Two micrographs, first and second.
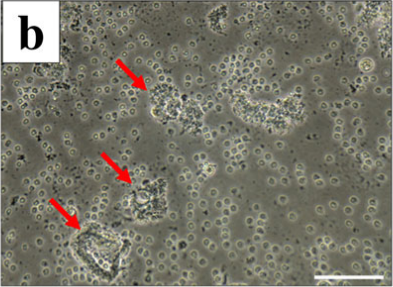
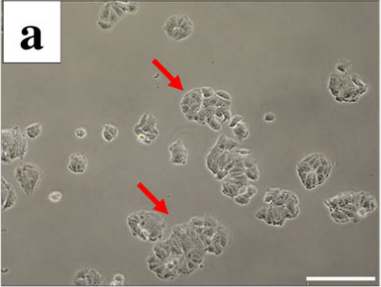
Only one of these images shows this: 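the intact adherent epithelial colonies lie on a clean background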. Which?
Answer: the second image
